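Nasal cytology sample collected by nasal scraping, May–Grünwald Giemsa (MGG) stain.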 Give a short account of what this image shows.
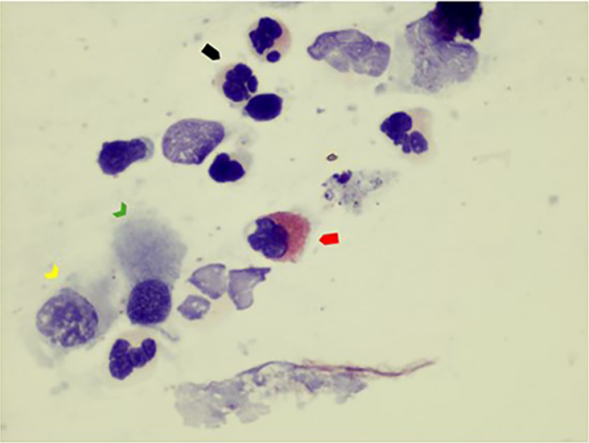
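Several small round cells carry dark nuclei divided into multiple lobes, consistent with neutrophils. An eosinophil with a lobed nucleus and pink-red granular cytoplasm lies among them. Larger epithelial cells have oval nuclei with granular purple chromatin and pale bluish, poorly defined cytoplasm, without a clear ciliated border. Pale violet cytoplasmic fragments are scattered between the cells, and a dark clump sits at the upper edge. A pale elongated fragment with a thin fibrillar strand lies near the bottom.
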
